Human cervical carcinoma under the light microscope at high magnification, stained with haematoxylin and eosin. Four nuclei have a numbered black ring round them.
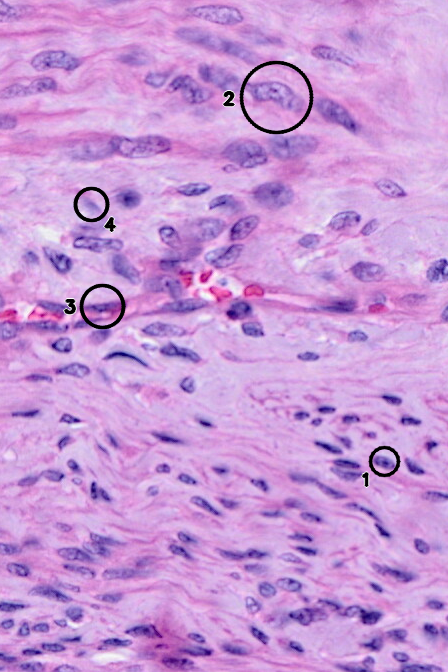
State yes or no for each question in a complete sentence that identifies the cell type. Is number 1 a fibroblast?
Yes, cell number 1 is classified as a fibroblast.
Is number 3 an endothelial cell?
Yes, the cell at number 3 is an endothelial cell.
